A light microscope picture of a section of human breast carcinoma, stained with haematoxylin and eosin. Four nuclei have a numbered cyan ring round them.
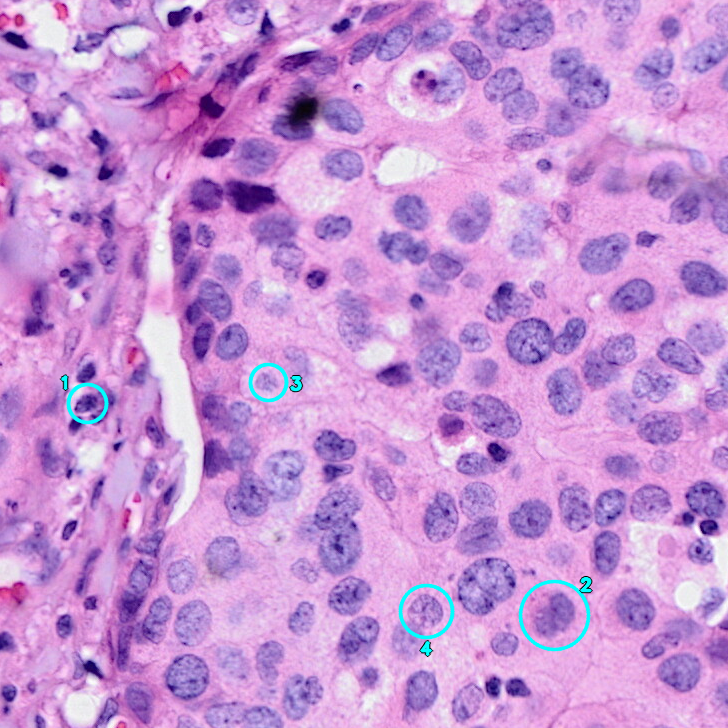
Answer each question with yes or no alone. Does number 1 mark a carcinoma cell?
no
